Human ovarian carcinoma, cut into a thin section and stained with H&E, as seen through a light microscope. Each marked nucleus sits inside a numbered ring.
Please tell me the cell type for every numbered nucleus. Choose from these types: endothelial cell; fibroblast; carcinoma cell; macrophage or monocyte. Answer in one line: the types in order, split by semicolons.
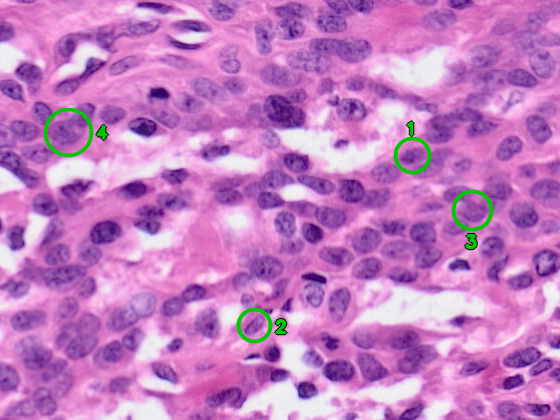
carcinoma cell; macrophage or monocyte; carcinoma cell; carcinoma cell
